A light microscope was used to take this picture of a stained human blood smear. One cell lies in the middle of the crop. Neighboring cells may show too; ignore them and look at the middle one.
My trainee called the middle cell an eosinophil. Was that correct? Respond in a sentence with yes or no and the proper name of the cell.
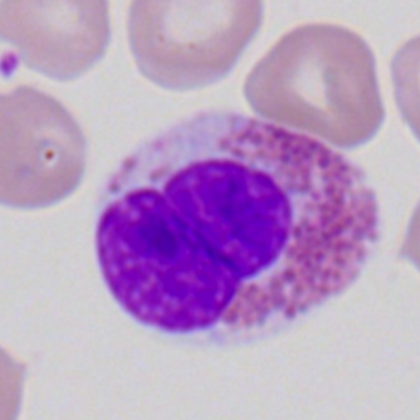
Yes, the cell centred in this crop is an eosinophil.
